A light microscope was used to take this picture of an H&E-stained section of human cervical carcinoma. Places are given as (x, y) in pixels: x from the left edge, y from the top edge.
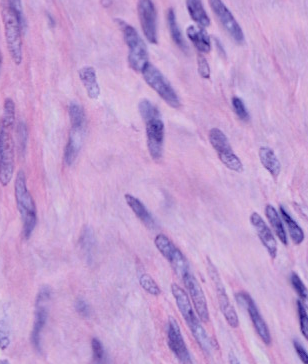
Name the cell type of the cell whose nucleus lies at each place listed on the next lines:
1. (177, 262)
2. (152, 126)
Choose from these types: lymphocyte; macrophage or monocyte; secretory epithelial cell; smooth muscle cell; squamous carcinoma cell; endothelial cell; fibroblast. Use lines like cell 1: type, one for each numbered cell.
cell 1: smooth muscle cell
cell 2: fibroblast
